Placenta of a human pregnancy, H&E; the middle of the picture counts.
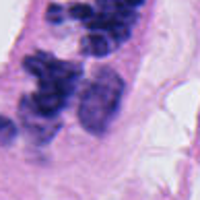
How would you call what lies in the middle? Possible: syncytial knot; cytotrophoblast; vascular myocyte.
I would call it a cytotrophoblast.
